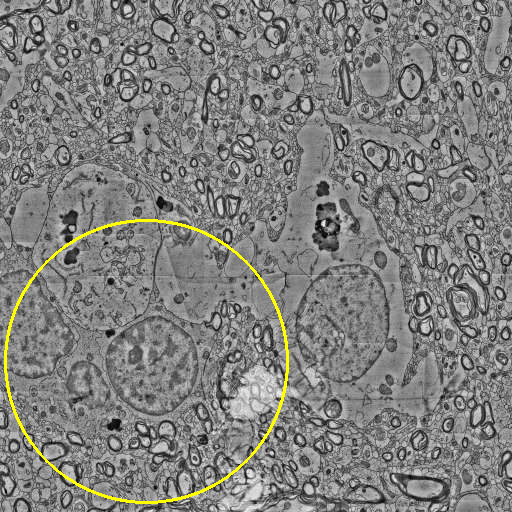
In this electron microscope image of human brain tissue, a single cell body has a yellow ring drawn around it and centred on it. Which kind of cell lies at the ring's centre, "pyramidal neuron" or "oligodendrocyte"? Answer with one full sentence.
It is an oligodendrocyte whose cell body lies at the centre of the yellow ring here.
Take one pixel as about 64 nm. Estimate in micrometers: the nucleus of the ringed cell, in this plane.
In this plane, approximately 6 micrometres across.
